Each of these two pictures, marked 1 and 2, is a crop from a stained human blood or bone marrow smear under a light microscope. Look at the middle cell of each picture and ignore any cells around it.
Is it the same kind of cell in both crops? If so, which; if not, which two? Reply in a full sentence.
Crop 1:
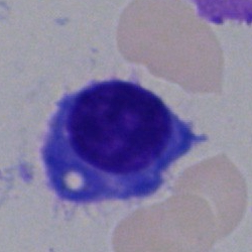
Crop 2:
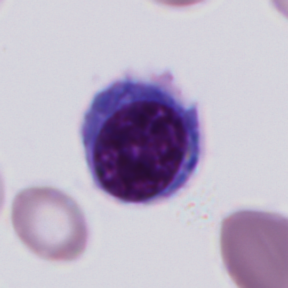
Yes, what both crops show is plasma cells.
